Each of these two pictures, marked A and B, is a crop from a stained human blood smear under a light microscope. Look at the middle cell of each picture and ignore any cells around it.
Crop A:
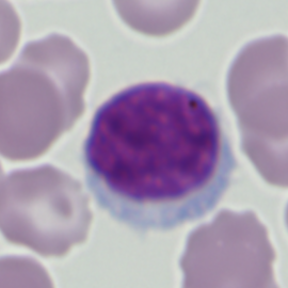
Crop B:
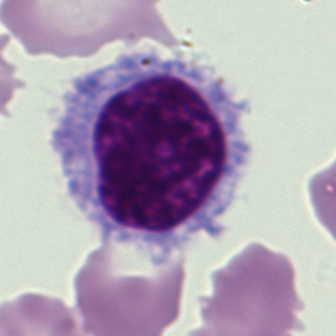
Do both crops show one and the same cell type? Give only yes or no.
yes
